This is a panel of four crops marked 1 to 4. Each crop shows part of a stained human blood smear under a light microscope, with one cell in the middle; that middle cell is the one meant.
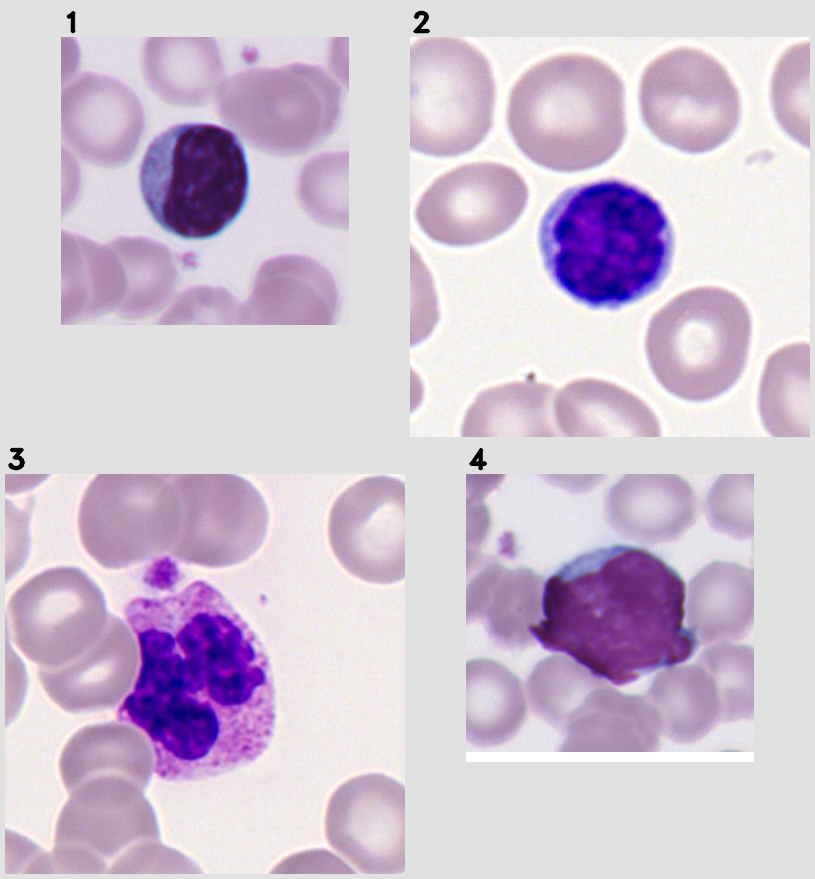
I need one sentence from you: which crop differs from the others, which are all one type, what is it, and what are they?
The odd one out is crop 3, a basophil, and all other crops show lymphocytes.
